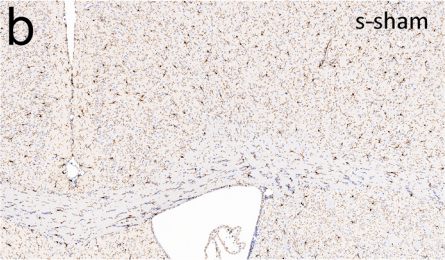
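Cortex and the underlying corpus callosum are seen above the lateral ventricle, with small brown microglia scattered throughout. The microglia are small with fine thin processes and are fairly evenly spaced in the cortex. The white-matter band shows rows of blue nuclei with only sparse, small brown cells.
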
